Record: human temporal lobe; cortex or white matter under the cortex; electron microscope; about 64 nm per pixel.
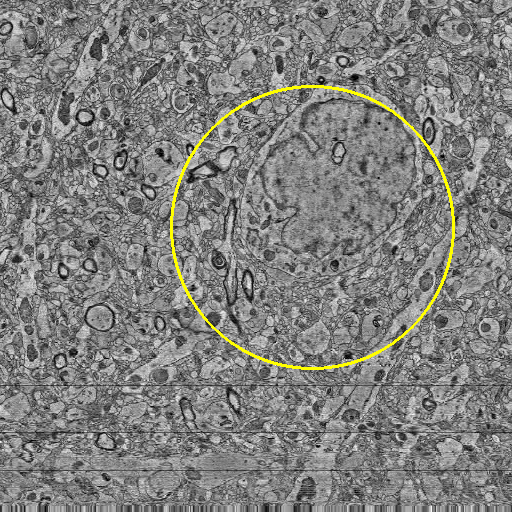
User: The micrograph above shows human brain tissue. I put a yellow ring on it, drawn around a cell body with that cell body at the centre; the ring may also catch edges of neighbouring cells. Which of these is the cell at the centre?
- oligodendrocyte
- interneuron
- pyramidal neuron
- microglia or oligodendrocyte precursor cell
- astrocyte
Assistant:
interneuron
